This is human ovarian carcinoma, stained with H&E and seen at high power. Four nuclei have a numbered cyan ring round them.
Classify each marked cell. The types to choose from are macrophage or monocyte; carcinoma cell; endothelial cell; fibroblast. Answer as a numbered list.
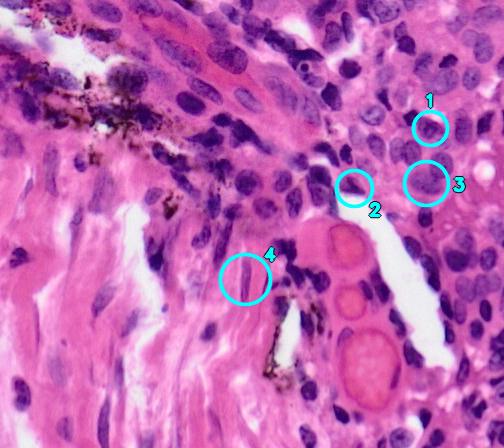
1. carcinoma cell
2. carcinoma cell
3. carcinoma cell
4. fibroblast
